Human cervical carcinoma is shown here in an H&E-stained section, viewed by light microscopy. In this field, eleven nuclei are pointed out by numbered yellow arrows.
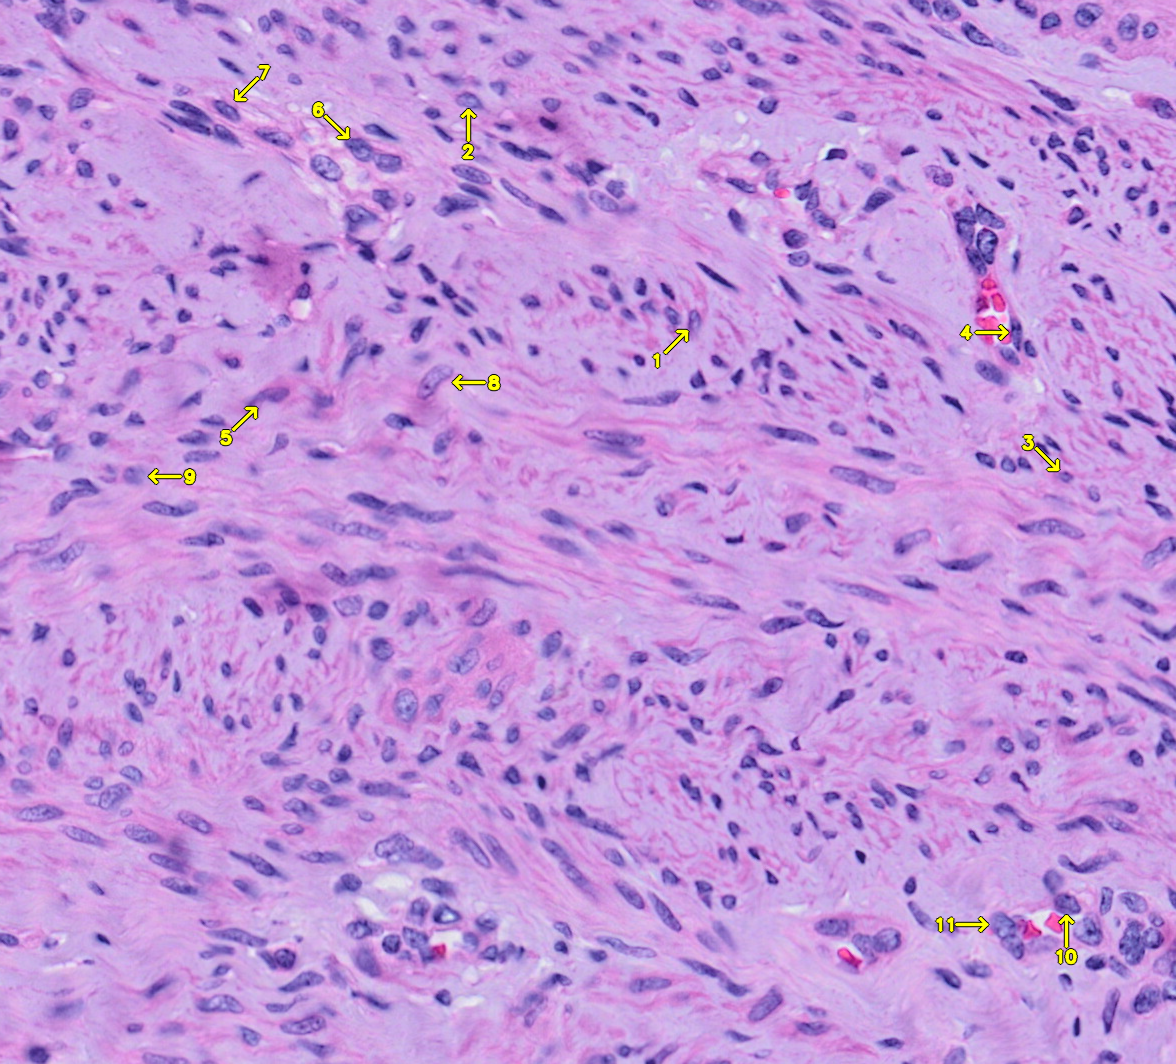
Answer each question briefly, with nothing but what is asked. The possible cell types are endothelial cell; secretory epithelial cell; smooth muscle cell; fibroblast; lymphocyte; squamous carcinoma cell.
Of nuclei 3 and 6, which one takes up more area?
6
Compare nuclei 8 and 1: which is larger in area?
8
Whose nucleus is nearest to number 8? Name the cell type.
fibroblast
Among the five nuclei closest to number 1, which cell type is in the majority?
smooth muscle cell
